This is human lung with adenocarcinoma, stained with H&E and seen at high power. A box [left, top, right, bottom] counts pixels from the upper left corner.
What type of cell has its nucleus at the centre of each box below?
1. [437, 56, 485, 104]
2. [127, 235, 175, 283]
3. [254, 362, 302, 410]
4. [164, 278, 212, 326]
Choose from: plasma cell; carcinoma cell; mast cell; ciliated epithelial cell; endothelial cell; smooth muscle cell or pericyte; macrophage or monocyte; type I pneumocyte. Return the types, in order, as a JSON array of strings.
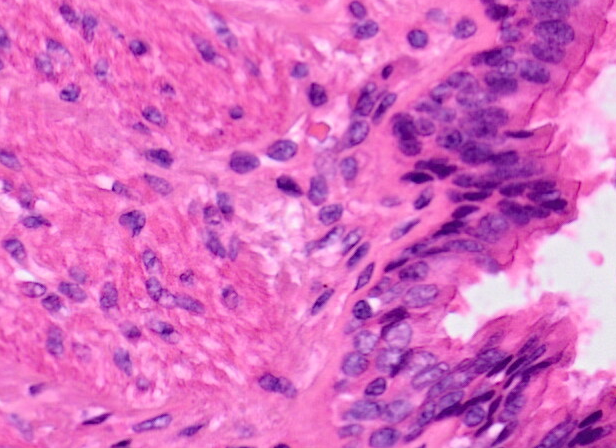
["ciliated epithelial cell", "smooth muscle cell or pericyte", "smooth muscle cell or pericyte", "smooth muscle cell or pericyte"]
